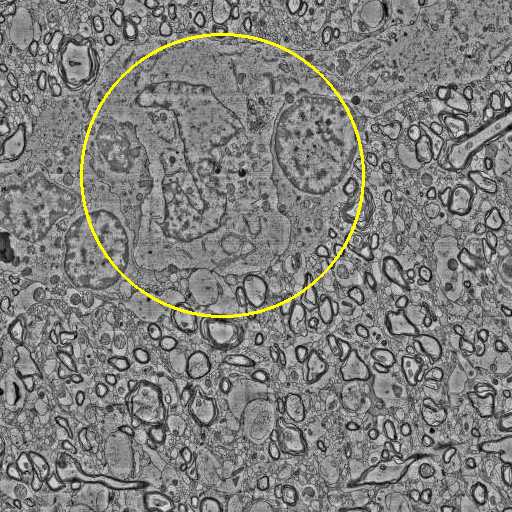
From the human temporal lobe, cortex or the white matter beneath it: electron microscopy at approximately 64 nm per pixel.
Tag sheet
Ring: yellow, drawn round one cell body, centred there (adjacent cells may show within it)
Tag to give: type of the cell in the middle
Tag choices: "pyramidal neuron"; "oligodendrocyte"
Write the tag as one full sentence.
I tag the cell centred in the yellow ring as an oligodendrocyte in this picture.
